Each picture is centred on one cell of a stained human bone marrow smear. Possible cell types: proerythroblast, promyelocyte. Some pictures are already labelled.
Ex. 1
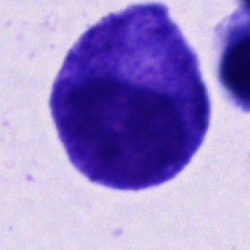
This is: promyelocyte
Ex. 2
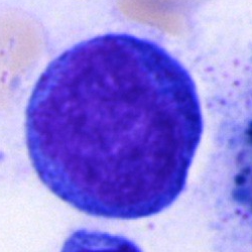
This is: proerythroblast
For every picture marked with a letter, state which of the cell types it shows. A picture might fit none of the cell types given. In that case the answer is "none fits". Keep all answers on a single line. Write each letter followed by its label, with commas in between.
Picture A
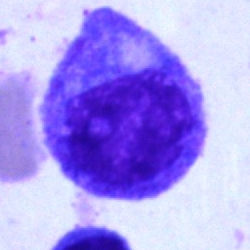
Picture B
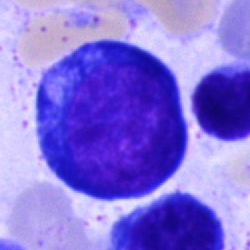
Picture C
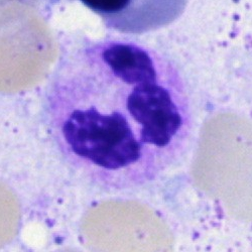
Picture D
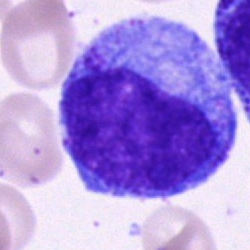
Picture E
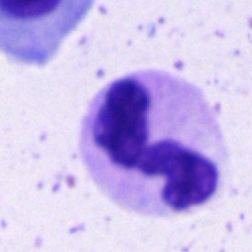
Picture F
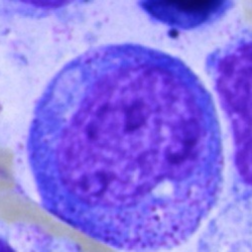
A promyelocyte, B proerythroblast, C none fits, D promyelocyte, E none fits, F promyelocyte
